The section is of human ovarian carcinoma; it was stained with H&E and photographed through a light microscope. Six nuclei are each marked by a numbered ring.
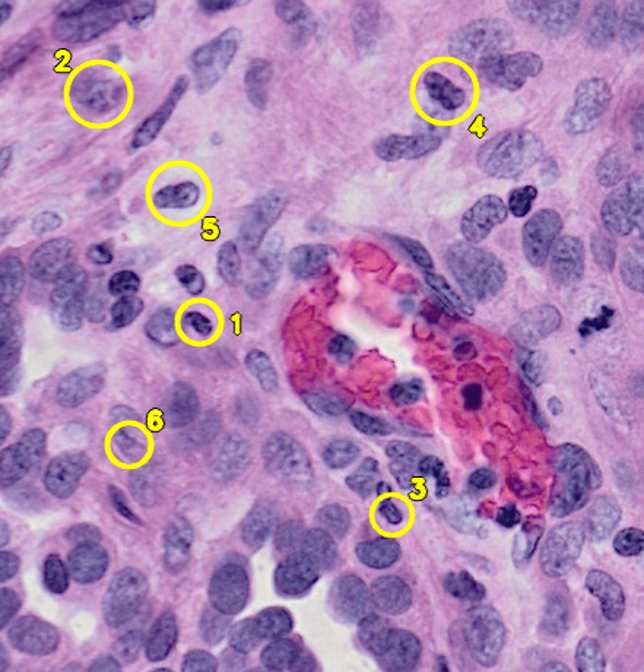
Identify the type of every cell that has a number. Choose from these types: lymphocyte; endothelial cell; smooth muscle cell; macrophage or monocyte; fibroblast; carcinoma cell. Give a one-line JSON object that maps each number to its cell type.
{"1": "lymphocyte", "2": "fibroblast", "3": "lymphocyte", "4": "lymphocyte", "5": "lymphocyte", "6": "fibroblast"}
